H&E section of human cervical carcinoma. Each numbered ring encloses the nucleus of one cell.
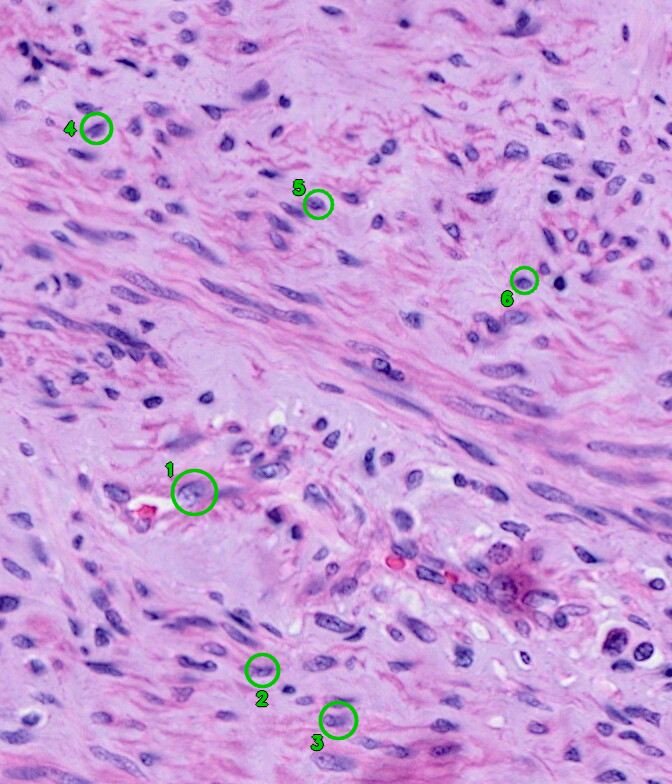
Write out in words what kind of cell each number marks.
Cell 1 is an endothelial cell, cell 2 is a smooth muscle cell, cell 3 is a smooth muscle cell, cell 4 is a fibroblast, cell 5 is a smooth muscle cell and cell 6 is a smooth muscle cell.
